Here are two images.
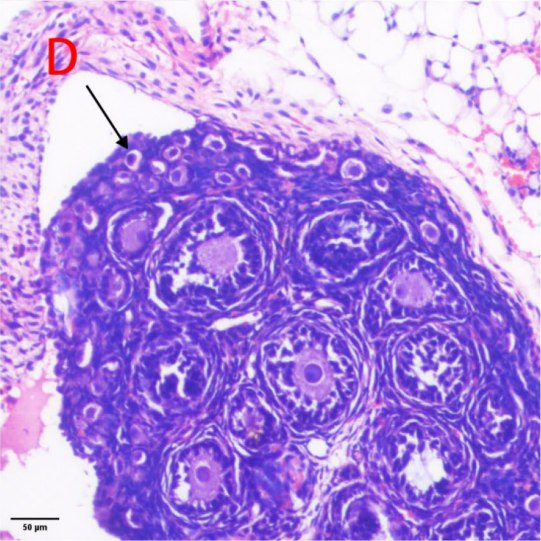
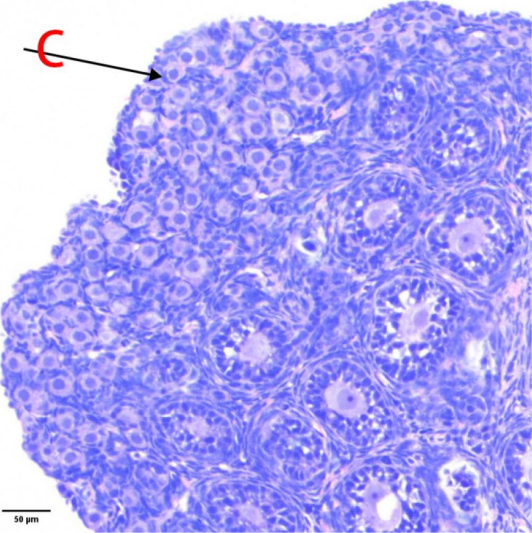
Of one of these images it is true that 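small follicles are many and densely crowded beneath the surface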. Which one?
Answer: the second image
